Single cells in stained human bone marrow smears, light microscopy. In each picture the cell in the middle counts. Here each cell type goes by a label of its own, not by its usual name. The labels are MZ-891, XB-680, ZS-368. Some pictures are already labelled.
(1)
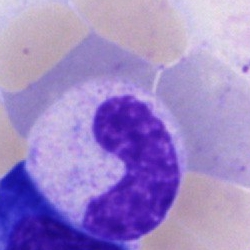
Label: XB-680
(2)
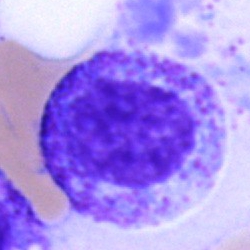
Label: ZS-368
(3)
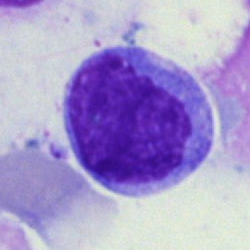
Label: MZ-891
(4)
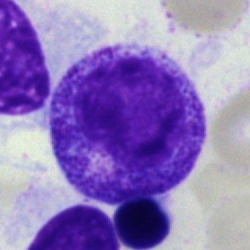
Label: ZS-368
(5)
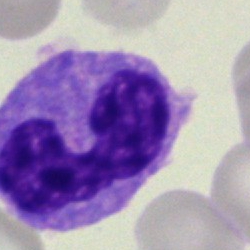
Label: XB-680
